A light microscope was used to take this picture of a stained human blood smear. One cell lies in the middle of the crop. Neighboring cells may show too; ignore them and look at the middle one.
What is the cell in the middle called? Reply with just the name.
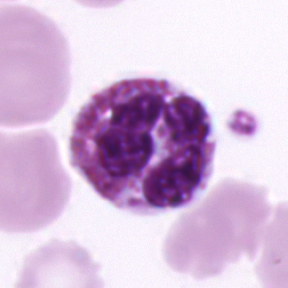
eosinophil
